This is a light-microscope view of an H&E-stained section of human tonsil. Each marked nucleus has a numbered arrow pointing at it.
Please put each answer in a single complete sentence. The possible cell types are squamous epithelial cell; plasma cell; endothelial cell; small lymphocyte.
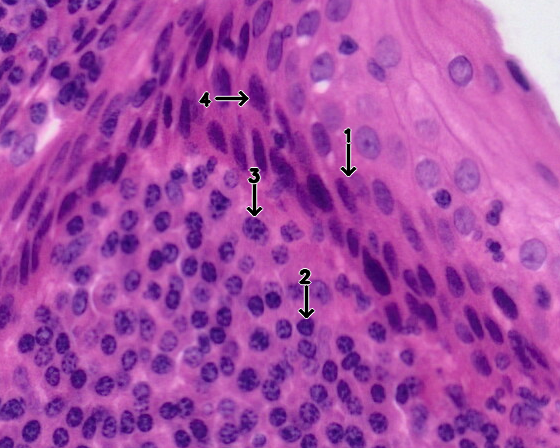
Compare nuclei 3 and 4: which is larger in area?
Number 4 is larger; its area is about 1.5 times that of number 3.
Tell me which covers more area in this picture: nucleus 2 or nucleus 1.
At about 1.5 times the area of nucleus 2, nucleus 1 is the larger of the two.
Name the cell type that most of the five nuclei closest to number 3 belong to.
Most of the five nuclei nearest to number 3 are those of plasma cells.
